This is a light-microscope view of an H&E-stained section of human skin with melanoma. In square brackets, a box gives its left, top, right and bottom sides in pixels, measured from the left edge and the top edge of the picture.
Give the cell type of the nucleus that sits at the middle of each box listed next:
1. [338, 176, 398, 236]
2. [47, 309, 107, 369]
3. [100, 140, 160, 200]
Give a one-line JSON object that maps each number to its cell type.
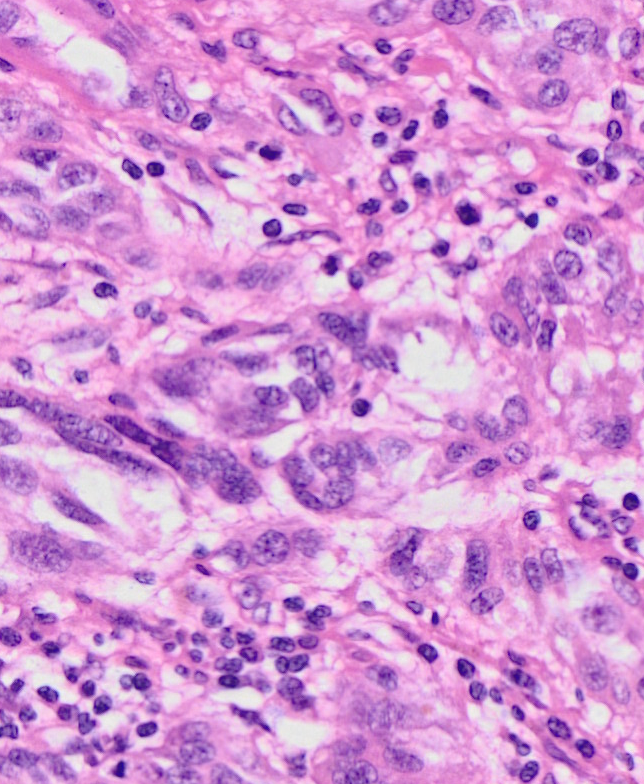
{"1": "lymphocyte", "2": "fibroblast or myofibroblast", "3": "lymphocyte"}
